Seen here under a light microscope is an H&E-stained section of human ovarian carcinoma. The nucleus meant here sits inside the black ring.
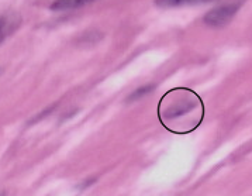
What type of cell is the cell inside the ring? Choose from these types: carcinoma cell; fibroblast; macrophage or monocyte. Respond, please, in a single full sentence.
Cell type answer for this item: the cell inside the ring is a fibroblast.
